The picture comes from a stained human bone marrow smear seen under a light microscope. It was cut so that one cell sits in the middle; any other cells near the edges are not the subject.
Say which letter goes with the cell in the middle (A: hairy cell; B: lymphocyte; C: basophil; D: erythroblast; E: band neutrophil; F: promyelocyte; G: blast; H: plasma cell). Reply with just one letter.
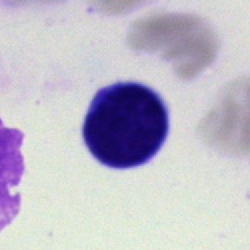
B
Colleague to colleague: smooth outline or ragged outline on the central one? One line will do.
The border of this cell runs smooth and free of any projections.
